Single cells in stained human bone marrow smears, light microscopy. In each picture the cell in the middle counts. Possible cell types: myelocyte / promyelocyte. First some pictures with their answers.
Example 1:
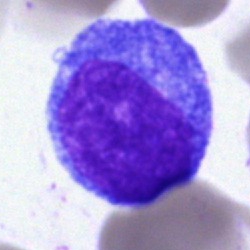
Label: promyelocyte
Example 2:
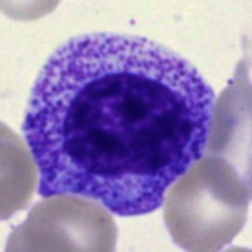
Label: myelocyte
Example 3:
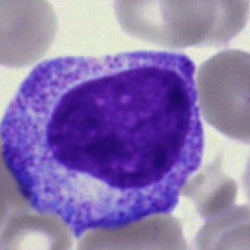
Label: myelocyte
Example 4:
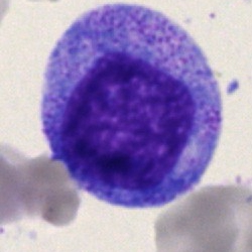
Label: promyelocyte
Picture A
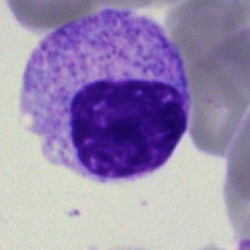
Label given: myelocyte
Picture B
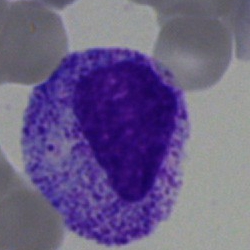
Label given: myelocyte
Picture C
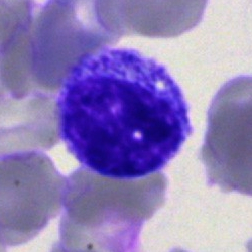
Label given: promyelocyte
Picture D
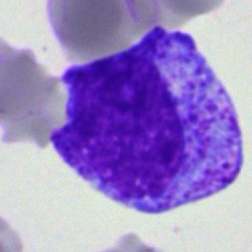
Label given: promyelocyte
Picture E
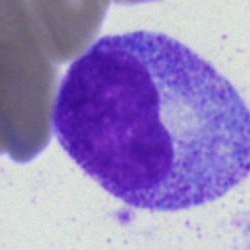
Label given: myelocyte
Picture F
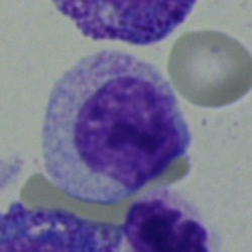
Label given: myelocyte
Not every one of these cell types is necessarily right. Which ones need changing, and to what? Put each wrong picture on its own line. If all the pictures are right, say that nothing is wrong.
C should be myelocyte, not promyelocyte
